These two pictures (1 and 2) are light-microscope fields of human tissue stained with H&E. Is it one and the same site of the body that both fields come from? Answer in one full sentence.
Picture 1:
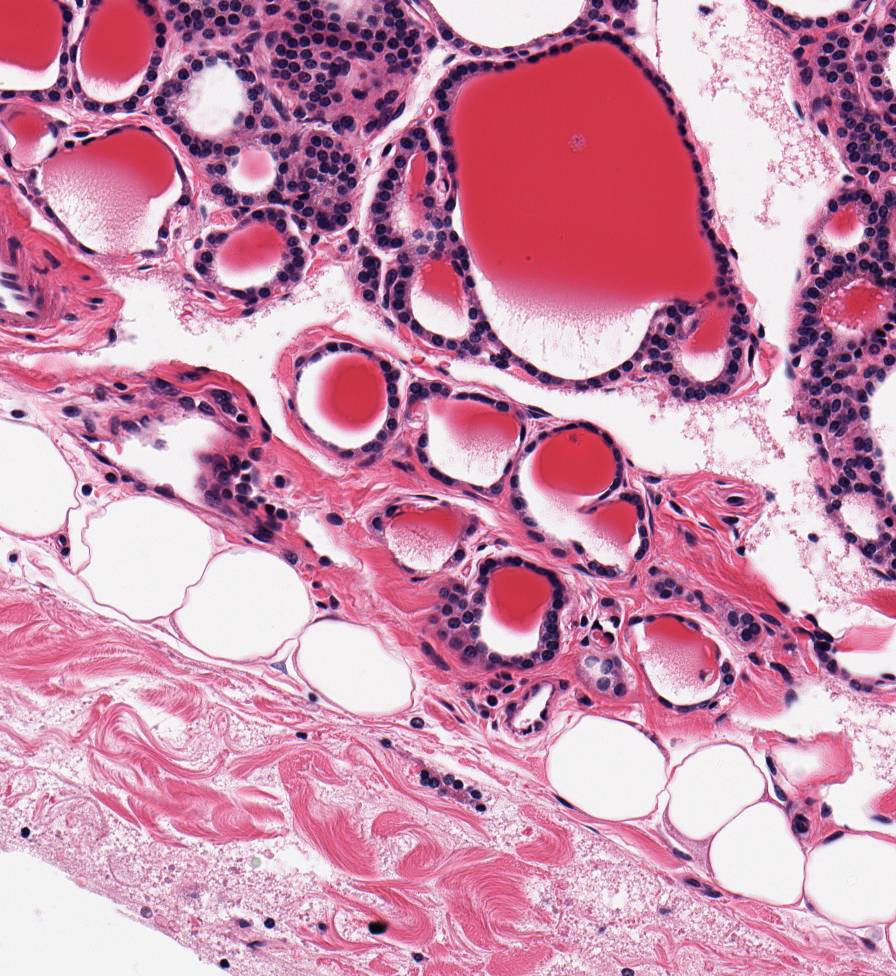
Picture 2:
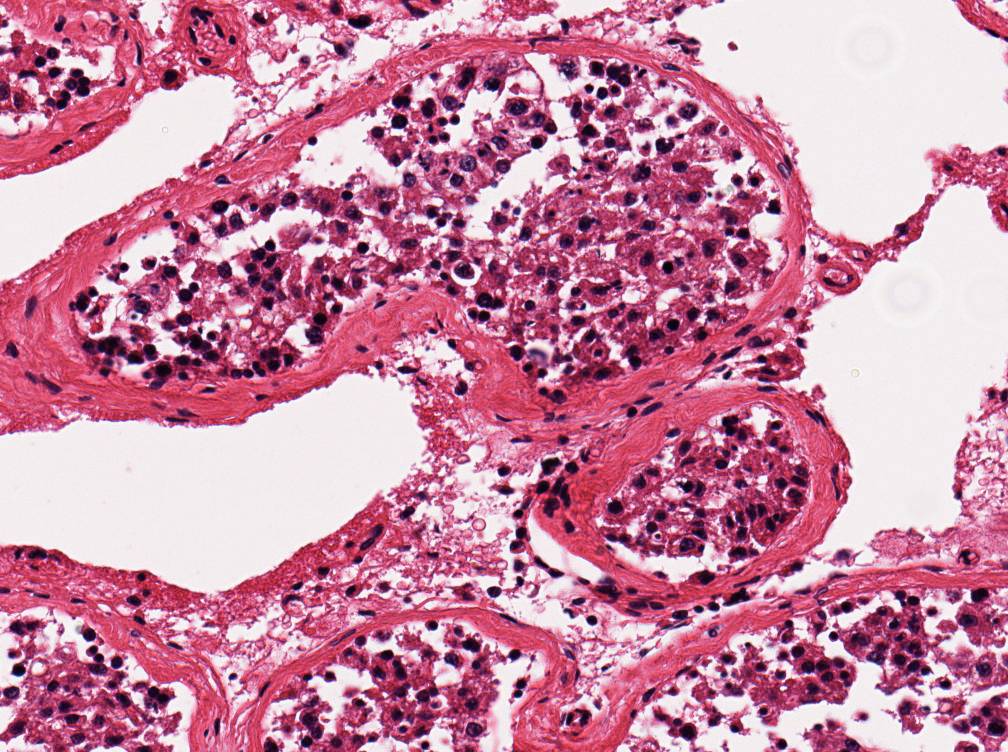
No, they differ: picture 1 comes from the thyroid, and picture 2 comes from the testis.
